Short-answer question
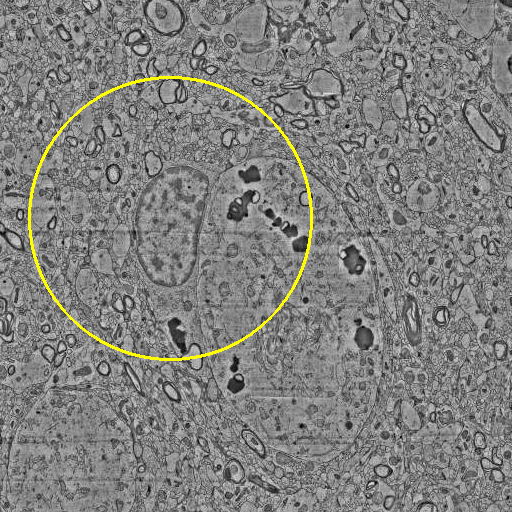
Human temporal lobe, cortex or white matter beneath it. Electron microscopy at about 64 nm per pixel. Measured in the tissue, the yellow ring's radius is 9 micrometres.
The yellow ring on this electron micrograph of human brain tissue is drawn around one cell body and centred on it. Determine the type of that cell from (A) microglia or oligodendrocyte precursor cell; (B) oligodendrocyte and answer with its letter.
B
